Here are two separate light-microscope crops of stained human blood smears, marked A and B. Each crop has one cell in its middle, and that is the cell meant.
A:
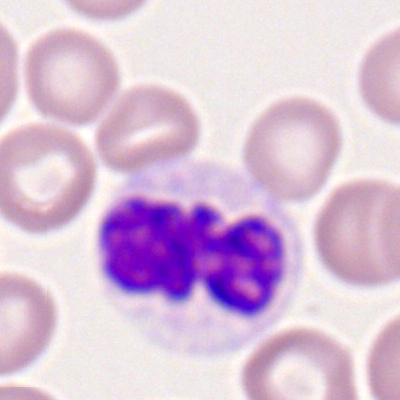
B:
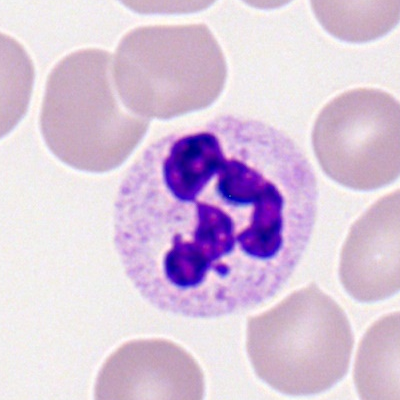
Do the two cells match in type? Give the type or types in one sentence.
Yes, in both of the crops, the central cells are segmented neutrophils.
